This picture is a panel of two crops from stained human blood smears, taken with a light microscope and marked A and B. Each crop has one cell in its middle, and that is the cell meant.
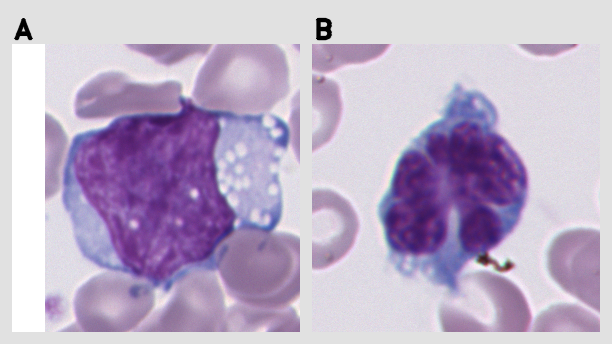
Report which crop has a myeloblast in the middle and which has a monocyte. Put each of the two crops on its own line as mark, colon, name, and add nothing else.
A: myeloblast
B: monocyte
